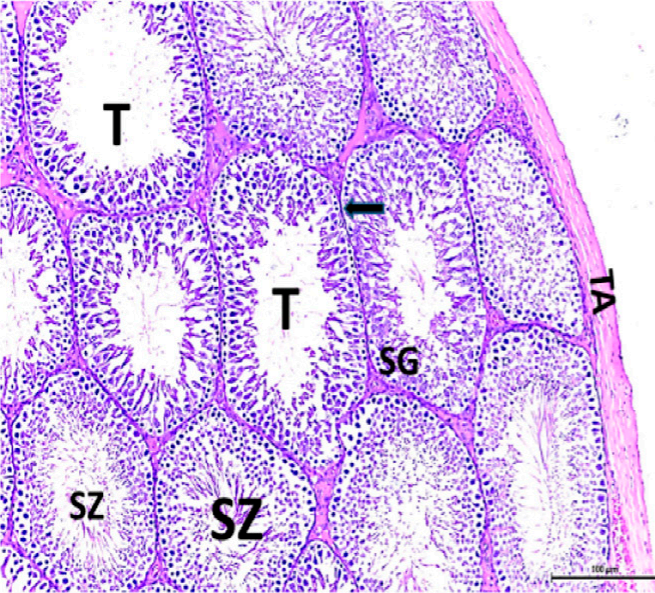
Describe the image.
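This is testis with many oval to rounded seminiferous tubules with regular contours, covered at one side by a thick pink tunica albuginea. Each tubule is lined by several layers of spermatogenic cells with dark purple nuclei resting on a thin basement membrane. Narrow pink interstitial tissue separates the closely packed tubules.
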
